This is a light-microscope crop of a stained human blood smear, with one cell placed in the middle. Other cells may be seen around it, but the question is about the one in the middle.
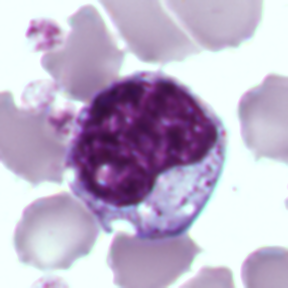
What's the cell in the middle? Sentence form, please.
The cell centred in this crop is categorized as a metamyelocyte.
